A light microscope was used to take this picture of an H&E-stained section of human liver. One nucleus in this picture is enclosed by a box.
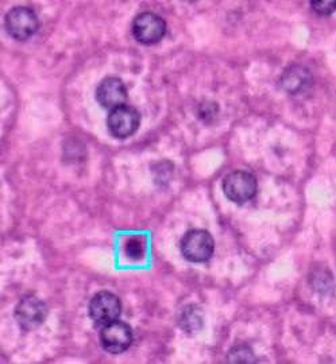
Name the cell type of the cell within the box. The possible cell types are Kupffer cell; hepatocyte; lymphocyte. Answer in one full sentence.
The identity of the cell within the box is that of a lymphocyte.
